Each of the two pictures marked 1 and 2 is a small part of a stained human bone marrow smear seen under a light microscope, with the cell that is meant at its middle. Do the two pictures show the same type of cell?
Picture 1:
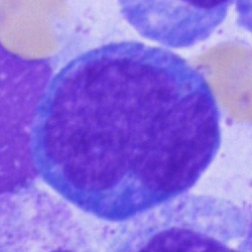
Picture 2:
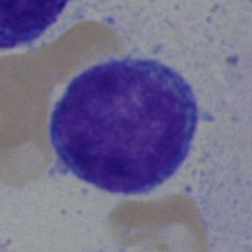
yes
